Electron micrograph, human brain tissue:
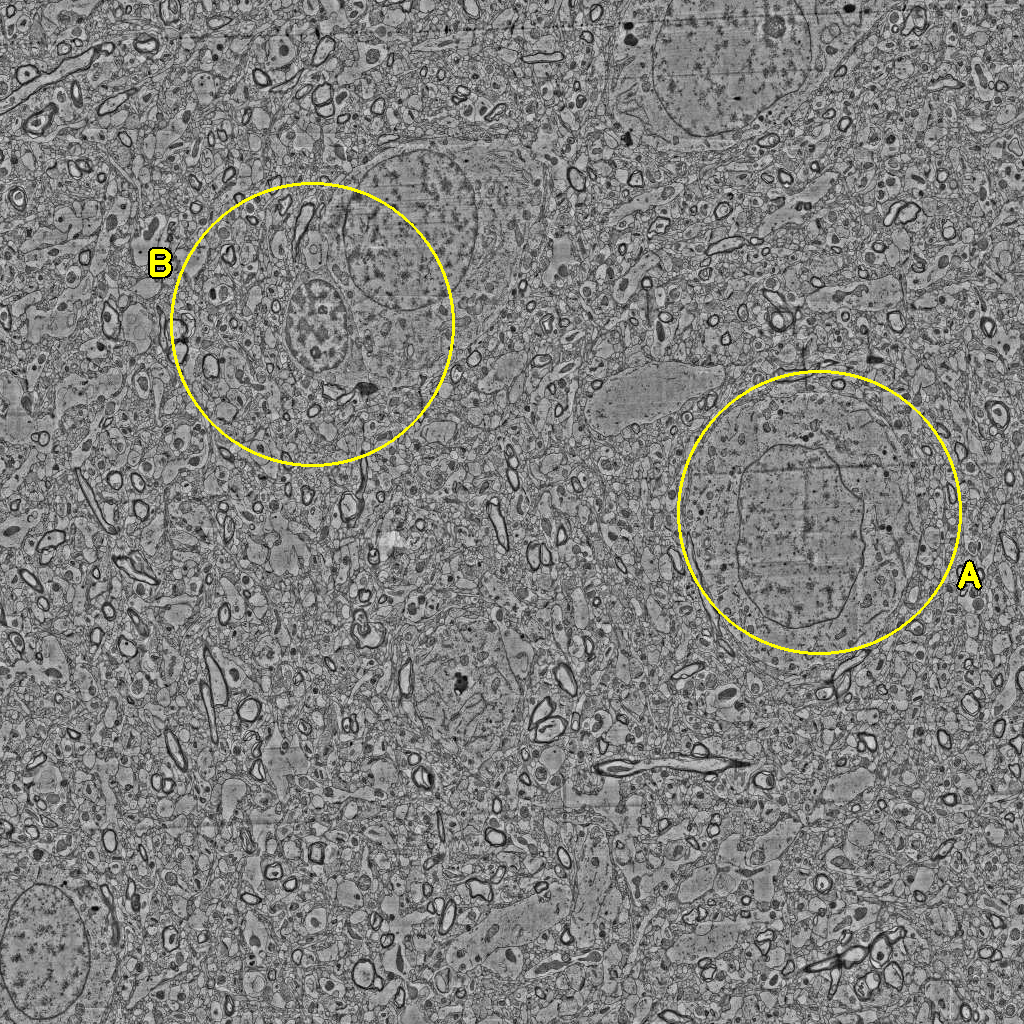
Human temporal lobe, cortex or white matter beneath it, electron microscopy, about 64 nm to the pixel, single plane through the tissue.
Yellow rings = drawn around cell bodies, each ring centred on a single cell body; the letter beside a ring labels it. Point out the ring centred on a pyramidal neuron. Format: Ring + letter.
Ring A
